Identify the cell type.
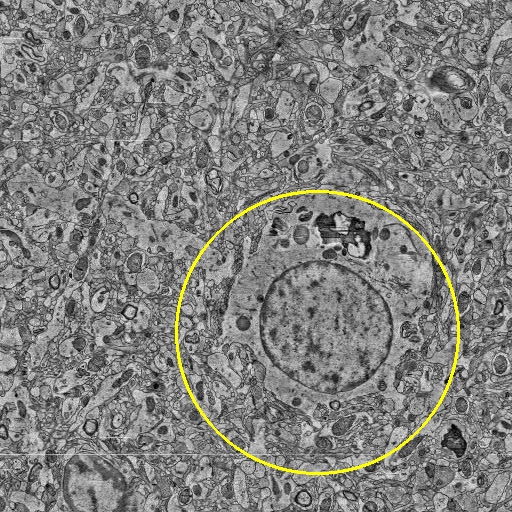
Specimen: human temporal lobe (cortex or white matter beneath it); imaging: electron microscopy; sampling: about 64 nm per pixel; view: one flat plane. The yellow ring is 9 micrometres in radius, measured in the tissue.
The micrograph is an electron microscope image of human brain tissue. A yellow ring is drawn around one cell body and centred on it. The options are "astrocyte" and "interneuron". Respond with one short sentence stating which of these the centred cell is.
The cell body in the ring belongs to an astrocyte.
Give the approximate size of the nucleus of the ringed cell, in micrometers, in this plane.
About 8 micrometres across in this plane, for the nucleus.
